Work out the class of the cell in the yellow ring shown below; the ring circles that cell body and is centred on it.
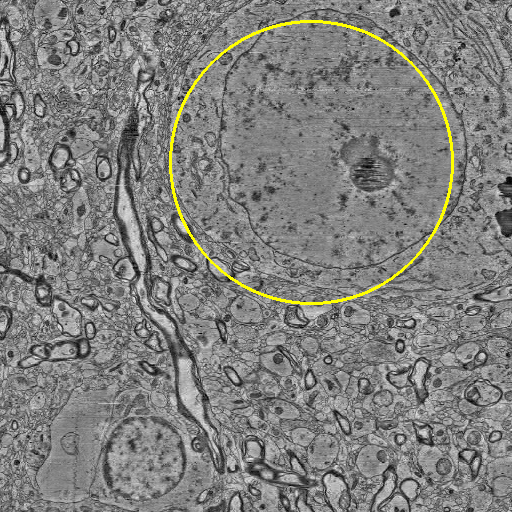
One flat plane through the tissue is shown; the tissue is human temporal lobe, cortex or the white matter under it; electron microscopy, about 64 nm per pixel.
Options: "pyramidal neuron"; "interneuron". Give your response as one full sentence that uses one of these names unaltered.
The body ringed in yellow, right at the ring's centre, is that of a pyramidal neuron.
